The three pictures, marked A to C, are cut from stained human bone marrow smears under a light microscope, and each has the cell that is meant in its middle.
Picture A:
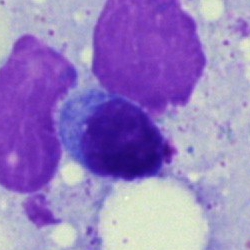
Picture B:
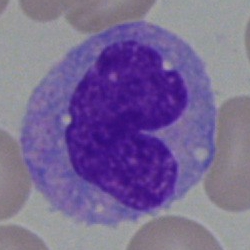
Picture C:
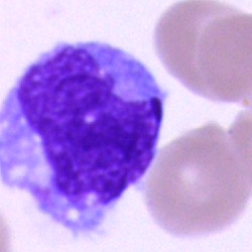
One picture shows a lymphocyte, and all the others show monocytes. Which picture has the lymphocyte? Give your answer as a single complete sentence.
The lymphocyte is the one in picture A.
